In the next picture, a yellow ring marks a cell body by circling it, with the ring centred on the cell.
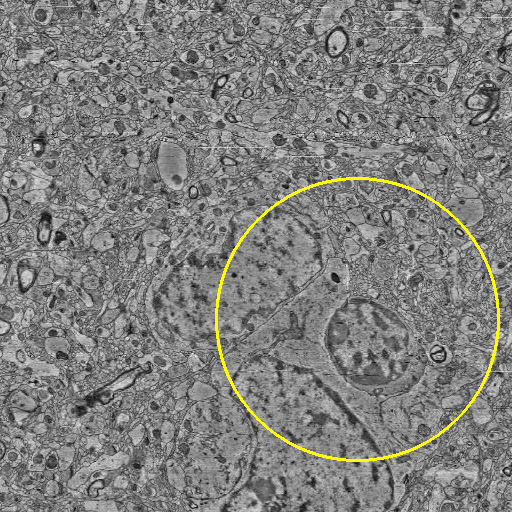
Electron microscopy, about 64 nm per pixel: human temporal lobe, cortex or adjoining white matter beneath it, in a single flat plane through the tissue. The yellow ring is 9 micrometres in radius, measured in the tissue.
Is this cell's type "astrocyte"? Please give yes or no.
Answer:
no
